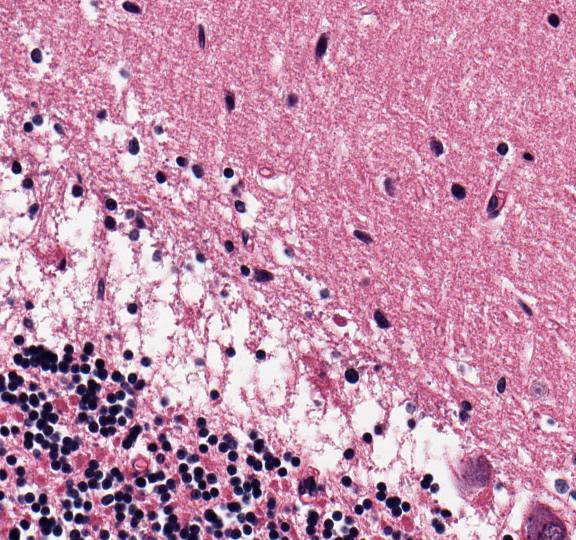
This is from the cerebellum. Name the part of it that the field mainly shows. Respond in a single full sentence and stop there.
The part of tissue on this slide is termed molecular layer.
